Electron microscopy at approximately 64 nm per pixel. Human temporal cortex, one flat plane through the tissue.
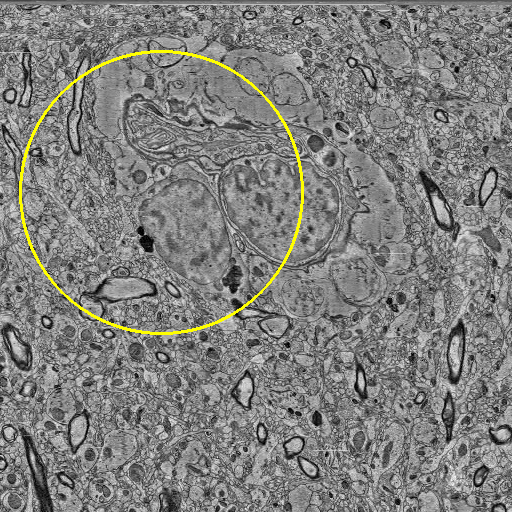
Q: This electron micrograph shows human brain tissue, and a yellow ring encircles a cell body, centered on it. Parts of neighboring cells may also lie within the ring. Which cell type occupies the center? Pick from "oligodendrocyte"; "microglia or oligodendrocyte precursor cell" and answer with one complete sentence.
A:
What sits at the ring's center in this micrograph is an oligodendrocyte, among those choices.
